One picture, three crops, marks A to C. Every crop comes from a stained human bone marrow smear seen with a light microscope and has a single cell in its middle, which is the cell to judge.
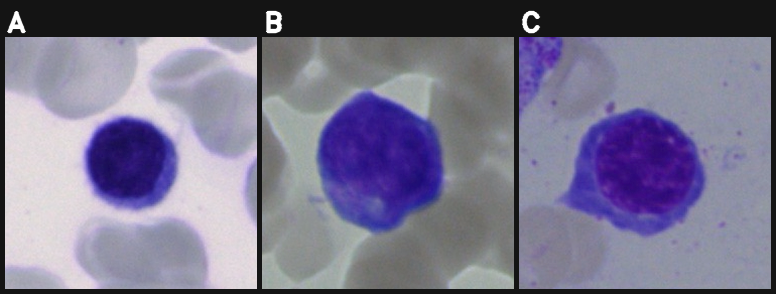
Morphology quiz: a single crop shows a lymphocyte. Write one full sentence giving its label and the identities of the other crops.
The cell of interest in crop A is a lymphocyte, and crop B is a blast and crop C is an erythroblast.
